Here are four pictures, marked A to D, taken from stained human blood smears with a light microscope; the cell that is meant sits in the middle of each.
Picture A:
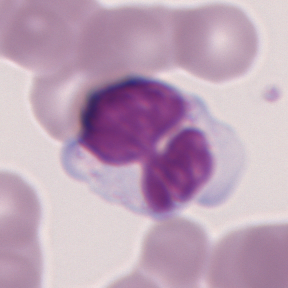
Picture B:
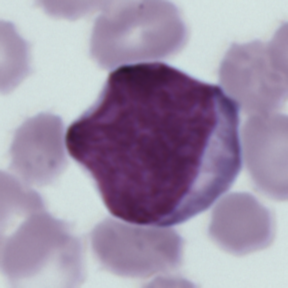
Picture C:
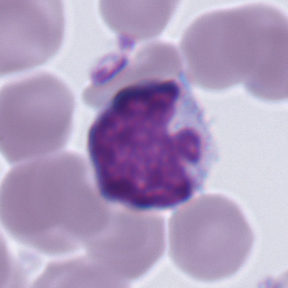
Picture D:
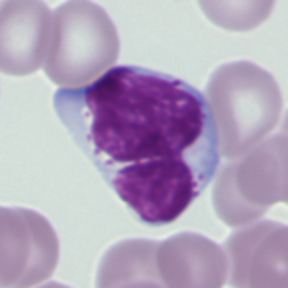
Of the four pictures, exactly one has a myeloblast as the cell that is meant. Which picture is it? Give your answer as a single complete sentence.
Picture B is the one that shows the myeloblast.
